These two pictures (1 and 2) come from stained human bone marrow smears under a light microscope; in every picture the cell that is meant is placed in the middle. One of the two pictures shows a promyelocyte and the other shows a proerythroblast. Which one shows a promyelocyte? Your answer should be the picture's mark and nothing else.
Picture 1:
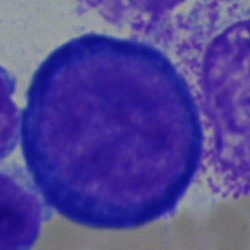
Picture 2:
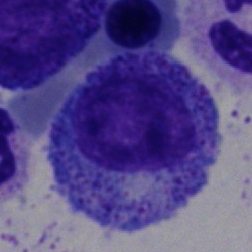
2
